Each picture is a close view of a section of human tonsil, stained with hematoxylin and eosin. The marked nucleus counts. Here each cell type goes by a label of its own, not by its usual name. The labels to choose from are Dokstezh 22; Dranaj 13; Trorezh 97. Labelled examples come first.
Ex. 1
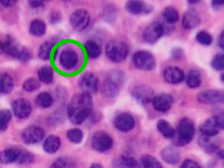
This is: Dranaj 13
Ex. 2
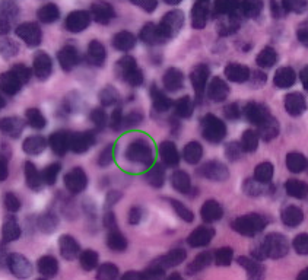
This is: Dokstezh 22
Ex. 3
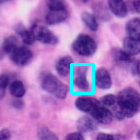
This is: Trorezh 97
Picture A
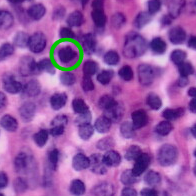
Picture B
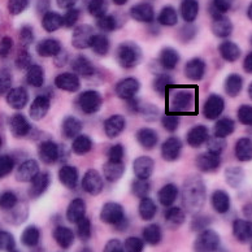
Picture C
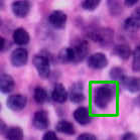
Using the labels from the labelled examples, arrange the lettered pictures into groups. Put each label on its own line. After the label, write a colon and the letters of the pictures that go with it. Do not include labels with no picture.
Dokstezh 22: B
Dranaj 13: A
Trorezh 97: C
